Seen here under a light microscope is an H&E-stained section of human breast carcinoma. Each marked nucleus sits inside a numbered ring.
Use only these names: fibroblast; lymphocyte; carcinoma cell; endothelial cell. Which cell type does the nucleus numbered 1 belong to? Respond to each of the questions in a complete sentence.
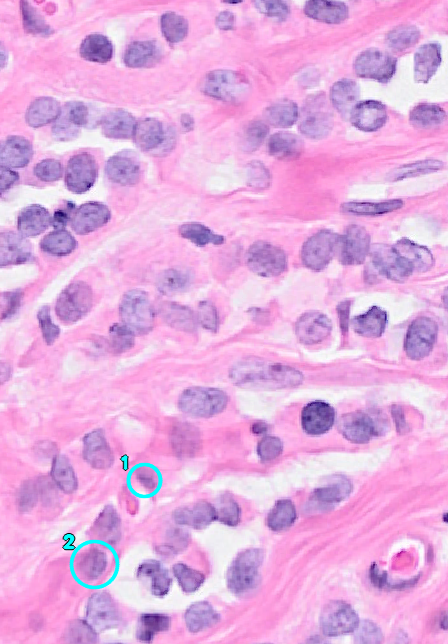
Cell 1 should be recorded as an endothelial cell.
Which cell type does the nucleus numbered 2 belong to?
Number 2 is placed on a carcinoma cell here.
